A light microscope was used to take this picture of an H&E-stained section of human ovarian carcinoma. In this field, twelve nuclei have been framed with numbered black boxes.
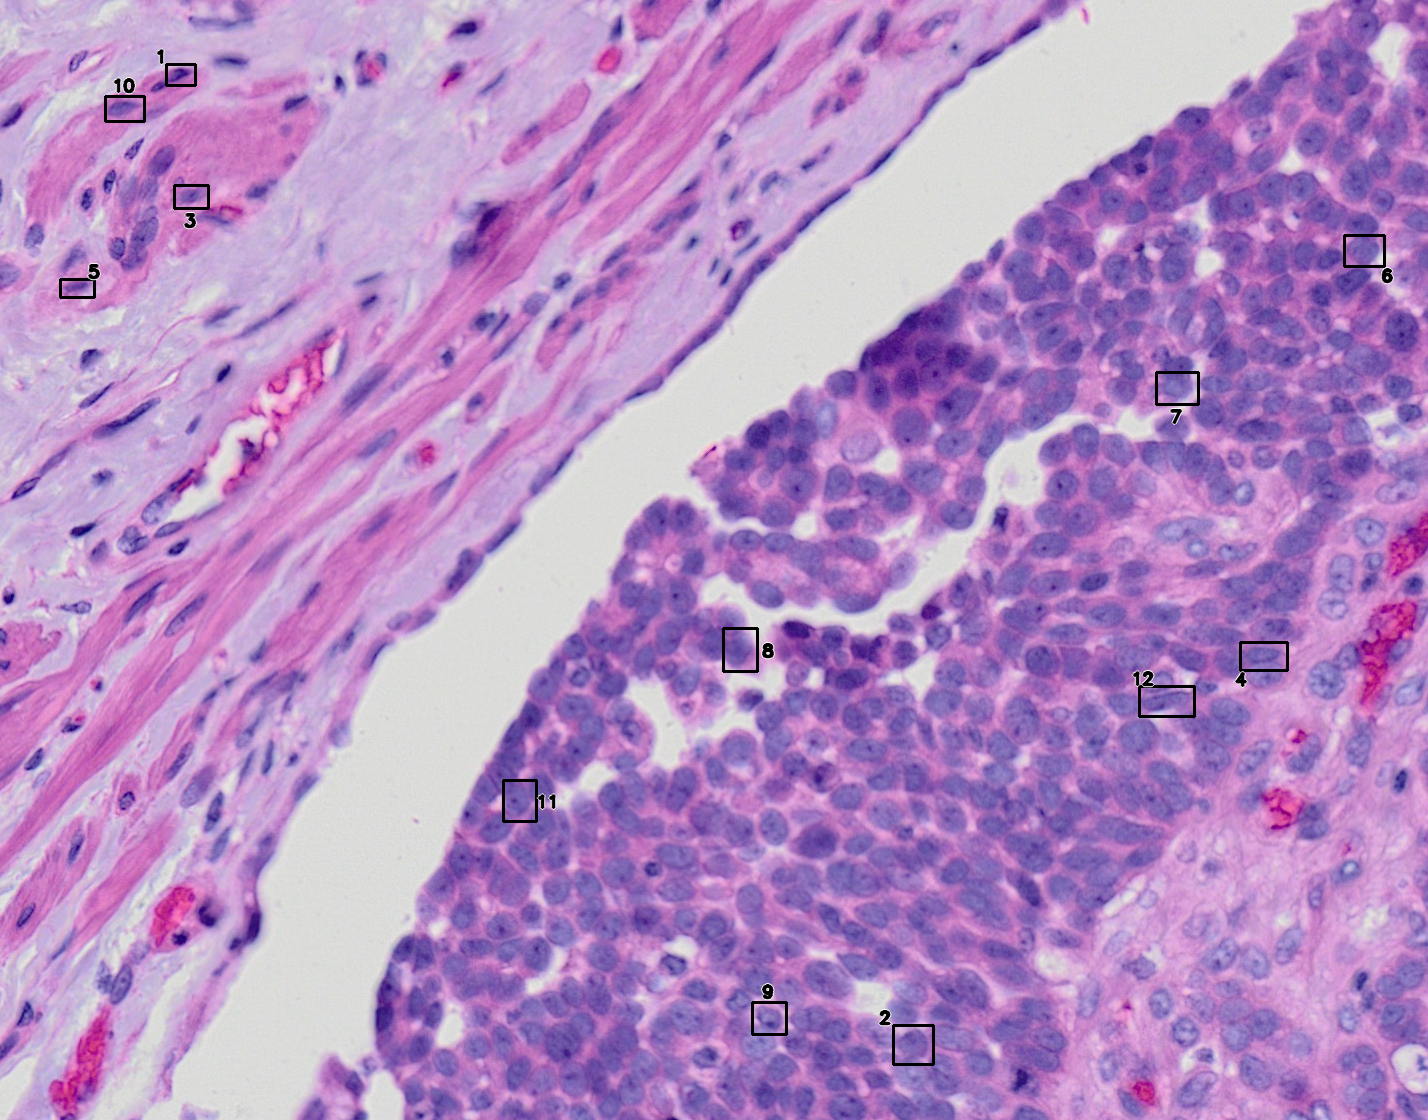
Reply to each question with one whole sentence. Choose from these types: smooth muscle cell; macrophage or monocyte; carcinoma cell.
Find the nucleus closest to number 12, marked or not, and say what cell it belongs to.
The cell nearest to number 12 is a macrophage or monocyte.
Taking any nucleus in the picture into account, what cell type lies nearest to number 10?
The cell nearest to number 10 is a smooth muscle cell.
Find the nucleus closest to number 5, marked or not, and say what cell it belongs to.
Closest to number 5 lies the nucleus of a smooth muscle cell.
